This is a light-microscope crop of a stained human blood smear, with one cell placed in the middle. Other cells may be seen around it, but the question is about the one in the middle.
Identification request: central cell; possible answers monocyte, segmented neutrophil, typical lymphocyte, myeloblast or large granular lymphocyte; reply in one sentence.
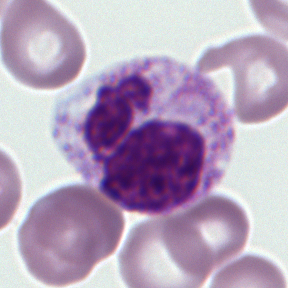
The centrally located cell in the crop is a segmented neutrophil.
